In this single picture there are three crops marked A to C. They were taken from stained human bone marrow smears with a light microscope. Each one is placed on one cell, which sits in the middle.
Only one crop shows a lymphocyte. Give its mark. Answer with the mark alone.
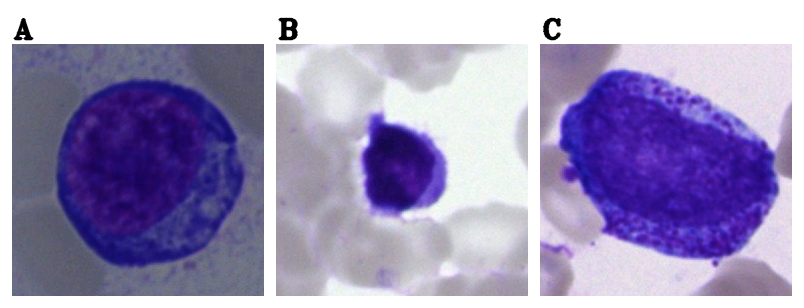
B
